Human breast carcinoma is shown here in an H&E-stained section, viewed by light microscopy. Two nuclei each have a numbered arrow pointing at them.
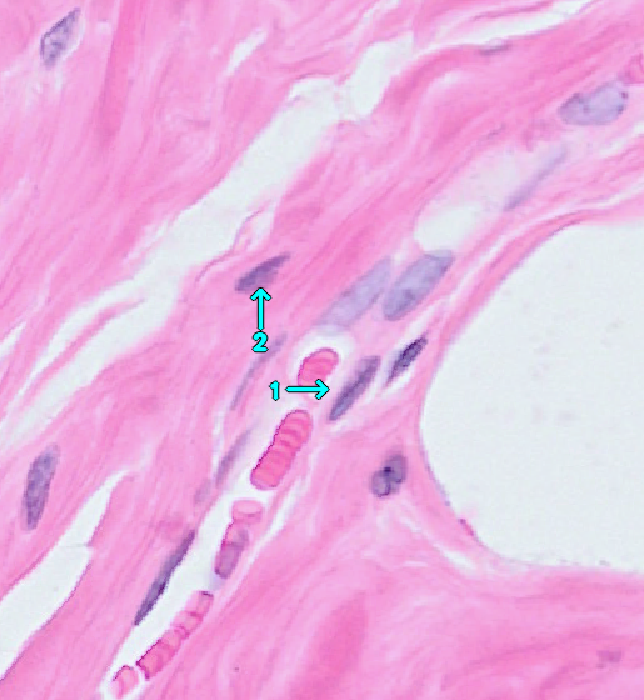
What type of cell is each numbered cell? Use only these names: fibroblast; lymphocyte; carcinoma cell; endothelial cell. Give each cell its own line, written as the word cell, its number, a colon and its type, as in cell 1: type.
cell 1: endothelial cell
cell 2: fibroblast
